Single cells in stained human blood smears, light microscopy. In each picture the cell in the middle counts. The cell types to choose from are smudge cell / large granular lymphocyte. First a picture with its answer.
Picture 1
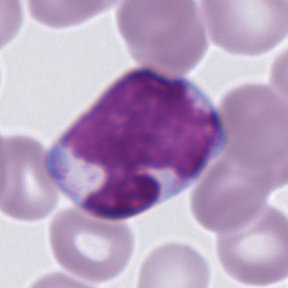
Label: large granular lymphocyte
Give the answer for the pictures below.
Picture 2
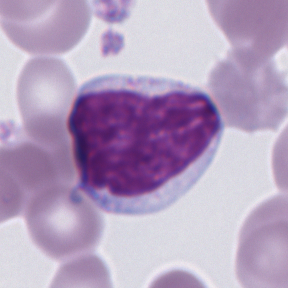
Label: large granular lymphocyte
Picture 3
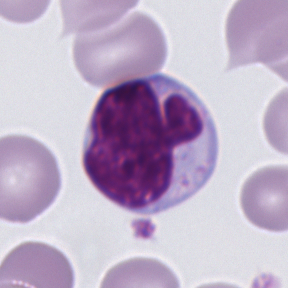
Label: large granular lymphocyte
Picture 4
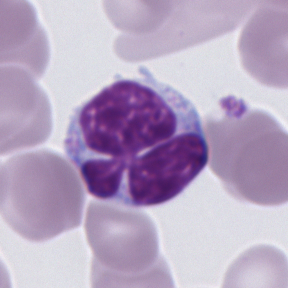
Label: large granular lymphocyte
